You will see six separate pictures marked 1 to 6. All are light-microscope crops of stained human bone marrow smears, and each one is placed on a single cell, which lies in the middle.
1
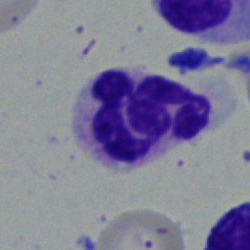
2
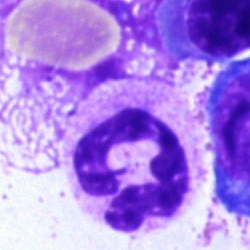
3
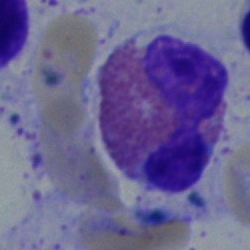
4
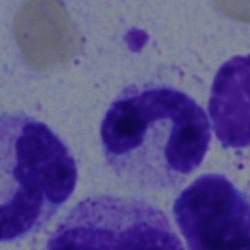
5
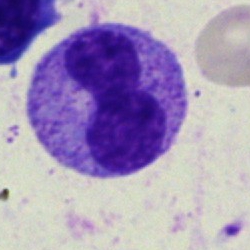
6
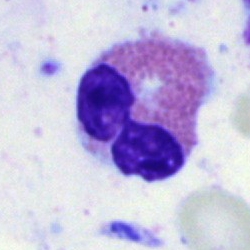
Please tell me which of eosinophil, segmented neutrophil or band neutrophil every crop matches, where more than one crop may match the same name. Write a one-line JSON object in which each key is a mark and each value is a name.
{"1": "segmented neutrophil", "2": "segmented neutrophil", "3": "eosinophil", "4": "band neutrophil", "5": "band neutrophil", "6": "eosinophil"}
